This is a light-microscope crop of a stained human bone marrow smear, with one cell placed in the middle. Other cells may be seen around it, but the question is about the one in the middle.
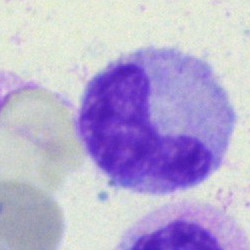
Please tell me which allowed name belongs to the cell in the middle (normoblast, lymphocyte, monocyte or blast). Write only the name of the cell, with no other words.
monocyte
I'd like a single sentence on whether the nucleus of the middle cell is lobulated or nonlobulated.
See how the nucleus sits as one compact round, oval or kidney-shaped mass.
